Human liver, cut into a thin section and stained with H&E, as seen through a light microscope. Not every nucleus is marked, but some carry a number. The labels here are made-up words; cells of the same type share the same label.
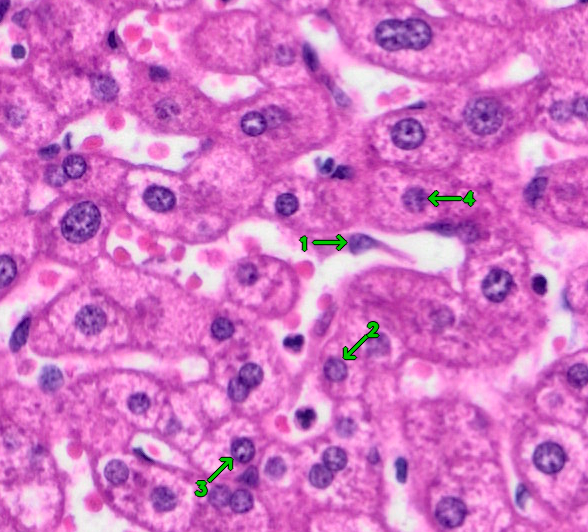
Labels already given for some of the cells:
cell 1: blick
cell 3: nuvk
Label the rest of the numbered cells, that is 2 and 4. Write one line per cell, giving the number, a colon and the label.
2: nuvk
4: nuvk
